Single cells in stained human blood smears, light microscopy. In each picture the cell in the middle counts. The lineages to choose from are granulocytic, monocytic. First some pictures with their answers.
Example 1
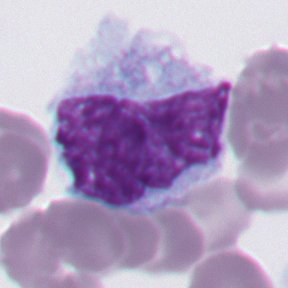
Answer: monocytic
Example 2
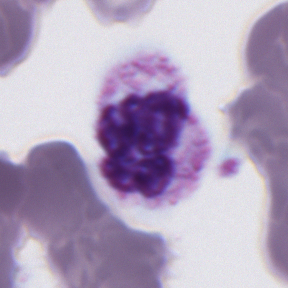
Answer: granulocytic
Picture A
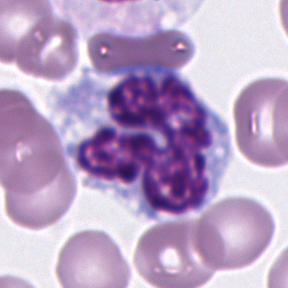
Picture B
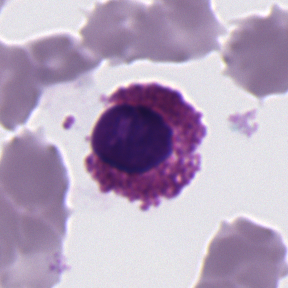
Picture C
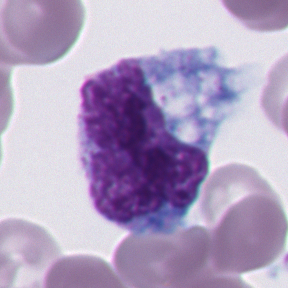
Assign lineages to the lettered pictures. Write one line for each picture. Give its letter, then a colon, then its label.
A: monocytic
B: granulocytic
C: monocytic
